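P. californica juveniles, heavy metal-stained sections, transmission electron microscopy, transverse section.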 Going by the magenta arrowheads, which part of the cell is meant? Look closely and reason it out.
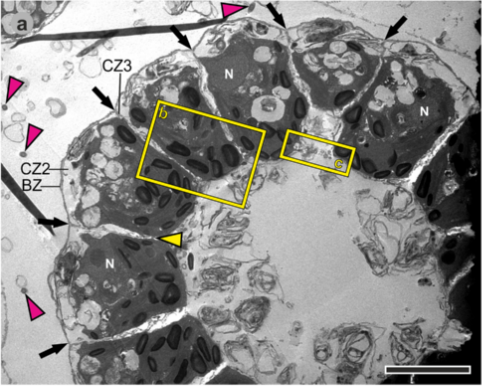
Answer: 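The magenta arrowheads point to small round profiles lying outside the ring of cells. These profiles are far smaller than the cells. So: flagella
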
